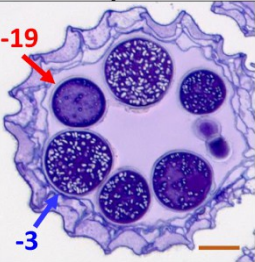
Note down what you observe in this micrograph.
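This is a cross-section through an anther locule holding pollen grains, stained in shades of purple. A ring of large, irregular, thin-walled wall cells surrounds a pale central cavity. Round pollen grains with distinct walls lie free around the inside of this cavity. Some grains are packed with many small pale granules, while others are more evenly dark purple with fewer pale granules. A small, dark, lumpy body sits among the grains at one side.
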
